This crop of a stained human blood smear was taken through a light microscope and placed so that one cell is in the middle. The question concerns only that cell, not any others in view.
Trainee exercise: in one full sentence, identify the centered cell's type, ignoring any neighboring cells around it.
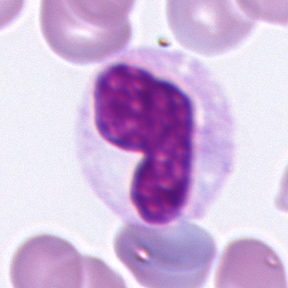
The cell nearest the centre of this crop is a band neutrophil.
